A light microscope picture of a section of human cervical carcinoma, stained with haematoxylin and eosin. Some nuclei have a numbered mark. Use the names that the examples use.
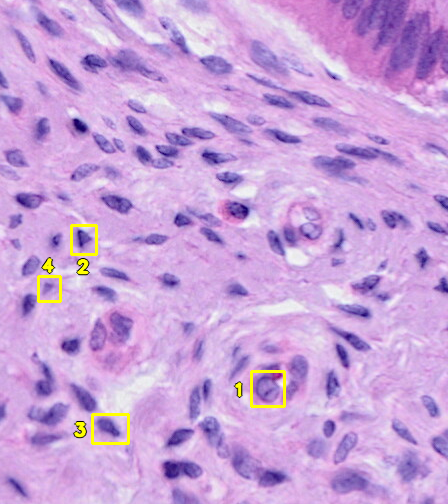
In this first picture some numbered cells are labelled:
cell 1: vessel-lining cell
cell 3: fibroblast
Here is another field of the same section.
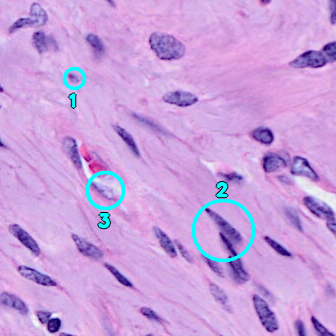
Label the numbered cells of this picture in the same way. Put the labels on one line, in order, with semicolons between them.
fibroblast; fibroblast; vessel-lining cell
